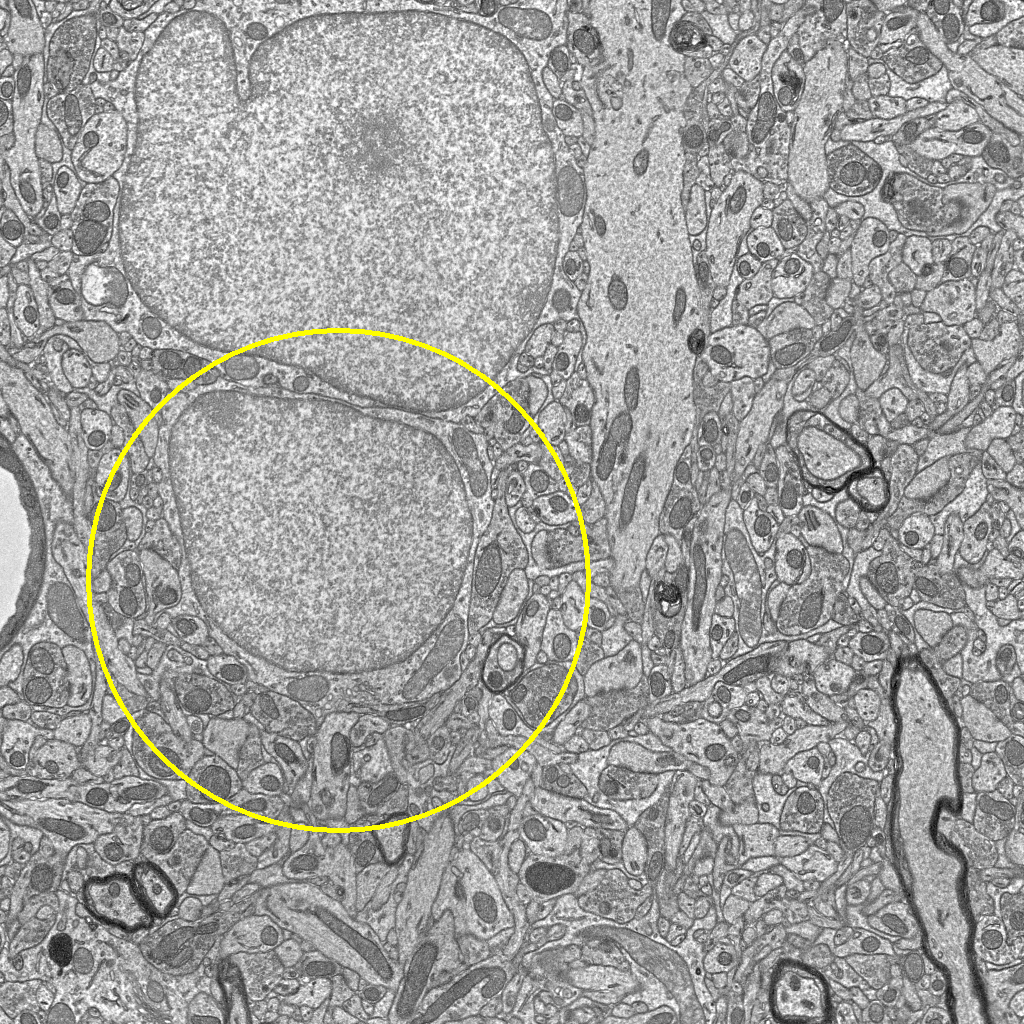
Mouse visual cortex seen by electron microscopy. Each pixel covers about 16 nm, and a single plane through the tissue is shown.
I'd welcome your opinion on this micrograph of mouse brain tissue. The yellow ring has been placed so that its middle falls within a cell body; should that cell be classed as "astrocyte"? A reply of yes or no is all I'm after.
yes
